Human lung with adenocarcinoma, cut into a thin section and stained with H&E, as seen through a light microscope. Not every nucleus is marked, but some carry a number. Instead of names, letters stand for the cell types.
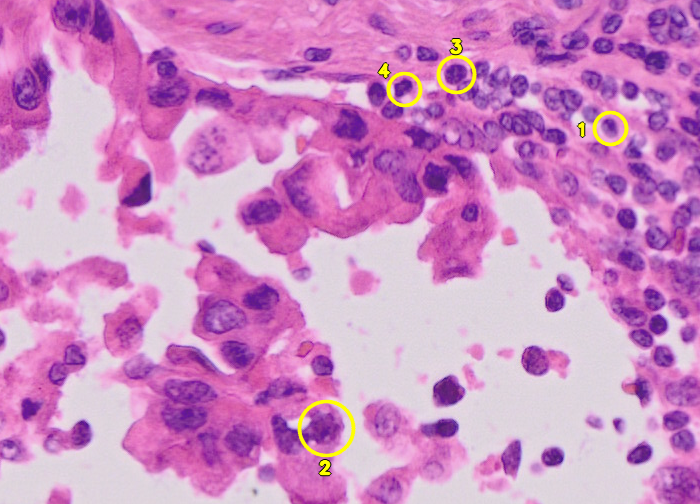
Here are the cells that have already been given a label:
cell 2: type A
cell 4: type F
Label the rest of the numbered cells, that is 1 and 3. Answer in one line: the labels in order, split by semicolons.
type F; type F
